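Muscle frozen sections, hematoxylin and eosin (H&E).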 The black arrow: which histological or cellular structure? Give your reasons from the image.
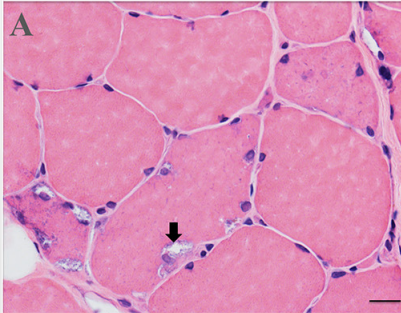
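Vacuoles. A small clear space lies inside a muscle fiber at the arrow. Bluish granular material lines the clear space.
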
